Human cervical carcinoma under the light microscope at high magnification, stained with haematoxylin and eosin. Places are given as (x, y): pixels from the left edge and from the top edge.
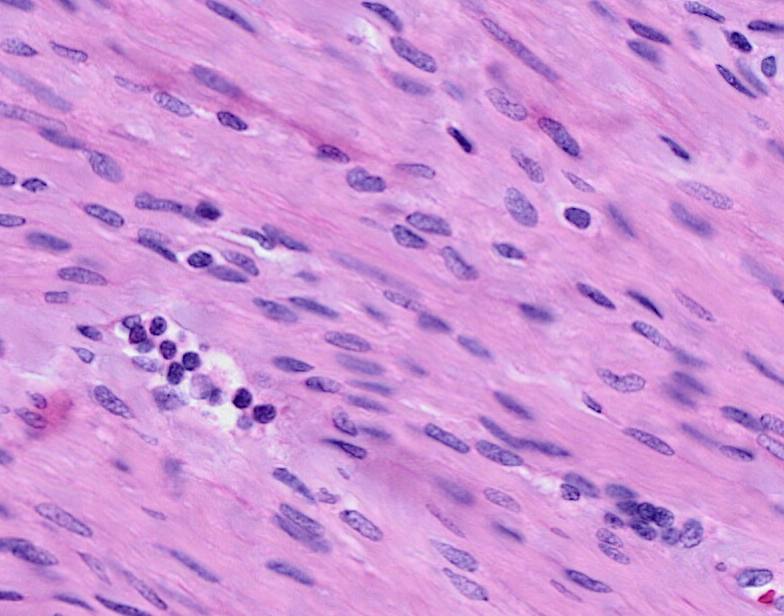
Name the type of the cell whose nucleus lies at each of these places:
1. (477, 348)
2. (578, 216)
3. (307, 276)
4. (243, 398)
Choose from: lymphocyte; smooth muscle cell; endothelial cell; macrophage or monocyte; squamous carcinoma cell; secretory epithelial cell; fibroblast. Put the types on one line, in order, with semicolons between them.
fibroblast; lymphocyte; fibroblast; lymphocyte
